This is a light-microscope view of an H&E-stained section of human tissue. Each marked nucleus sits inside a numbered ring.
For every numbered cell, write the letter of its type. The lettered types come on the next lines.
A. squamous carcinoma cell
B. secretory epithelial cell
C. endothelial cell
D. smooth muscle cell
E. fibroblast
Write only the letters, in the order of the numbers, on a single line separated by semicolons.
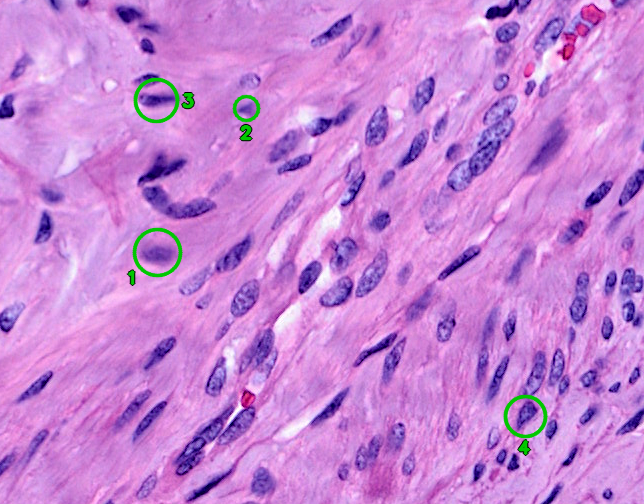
E; E; E; D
